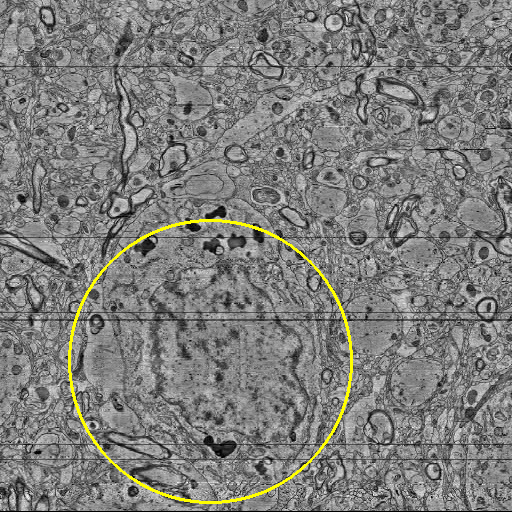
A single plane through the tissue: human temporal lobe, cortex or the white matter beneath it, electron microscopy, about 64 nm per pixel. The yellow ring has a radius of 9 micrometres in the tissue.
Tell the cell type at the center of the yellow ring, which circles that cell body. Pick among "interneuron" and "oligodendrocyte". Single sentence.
The ring is centered on the body of an interneuron.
